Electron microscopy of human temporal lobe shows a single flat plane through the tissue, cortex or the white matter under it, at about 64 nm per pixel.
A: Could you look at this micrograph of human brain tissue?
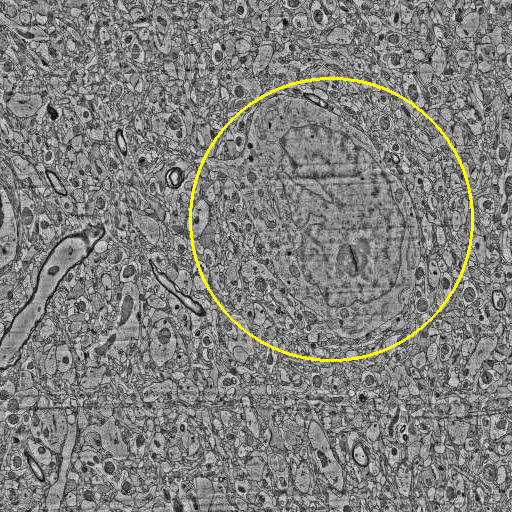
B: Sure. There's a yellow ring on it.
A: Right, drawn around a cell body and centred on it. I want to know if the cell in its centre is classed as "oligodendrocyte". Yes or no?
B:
no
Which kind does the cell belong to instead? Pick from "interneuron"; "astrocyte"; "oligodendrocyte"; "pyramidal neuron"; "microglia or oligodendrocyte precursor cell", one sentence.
Here, the ring is centred on an interneuron instead.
